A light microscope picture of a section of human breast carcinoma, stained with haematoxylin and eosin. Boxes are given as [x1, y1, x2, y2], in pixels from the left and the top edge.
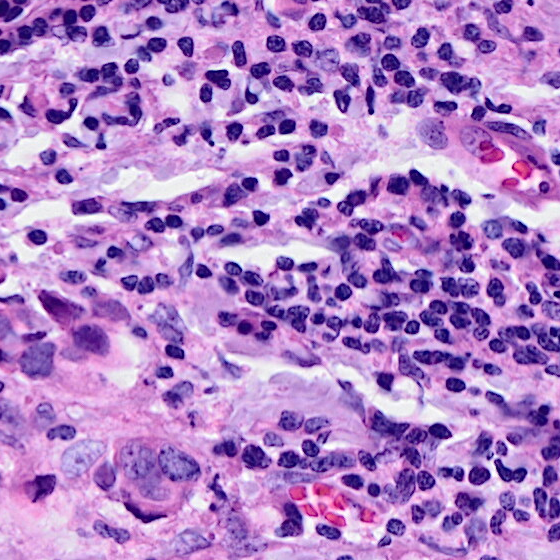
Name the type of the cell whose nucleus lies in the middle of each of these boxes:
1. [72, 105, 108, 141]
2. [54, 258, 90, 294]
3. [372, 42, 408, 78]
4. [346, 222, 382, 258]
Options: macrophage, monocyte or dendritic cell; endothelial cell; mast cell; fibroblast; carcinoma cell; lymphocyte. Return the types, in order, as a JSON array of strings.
["lymphocyte", "mast cell", "lymphocyte", "lymphocyte"]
